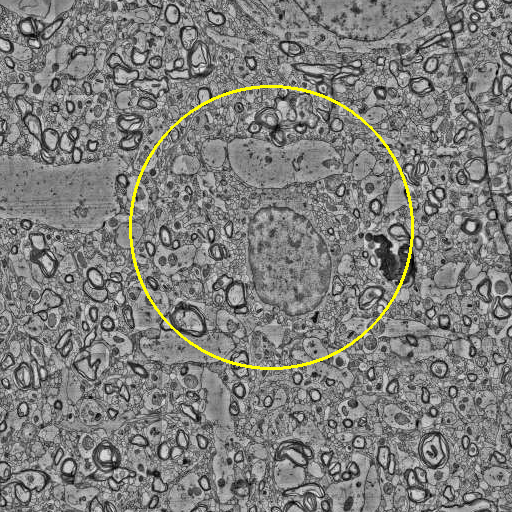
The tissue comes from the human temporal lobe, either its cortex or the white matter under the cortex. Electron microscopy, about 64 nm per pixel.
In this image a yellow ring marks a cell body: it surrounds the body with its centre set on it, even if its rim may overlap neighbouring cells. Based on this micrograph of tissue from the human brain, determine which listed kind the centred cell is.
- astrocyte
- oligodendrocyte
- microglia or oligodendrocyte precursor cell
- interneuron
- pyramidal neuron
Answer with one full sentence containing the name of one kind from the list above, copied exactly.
It is an oligodendrocyte whose body the yellow ring encloses at its centre.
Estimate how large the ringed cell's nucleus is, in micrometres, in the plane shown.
The nucleus is approximately 7 micrometers long by 5 micrometers wide in this plane.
